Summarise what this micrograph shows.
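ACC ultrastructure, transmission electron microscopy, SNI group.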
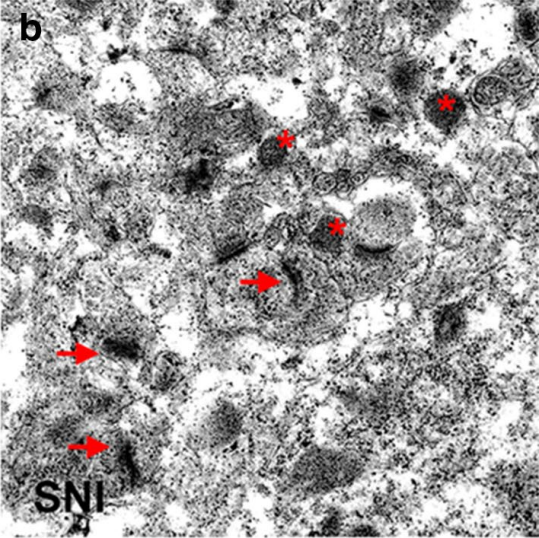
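This electron micrograph of brain neuropil shows synaptic contacts in which the dense band on the receiving side looks thick and dark, and the gap between the two membranes is hard to make out. Nearby profiles hold dense, rounded mitochondria.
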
